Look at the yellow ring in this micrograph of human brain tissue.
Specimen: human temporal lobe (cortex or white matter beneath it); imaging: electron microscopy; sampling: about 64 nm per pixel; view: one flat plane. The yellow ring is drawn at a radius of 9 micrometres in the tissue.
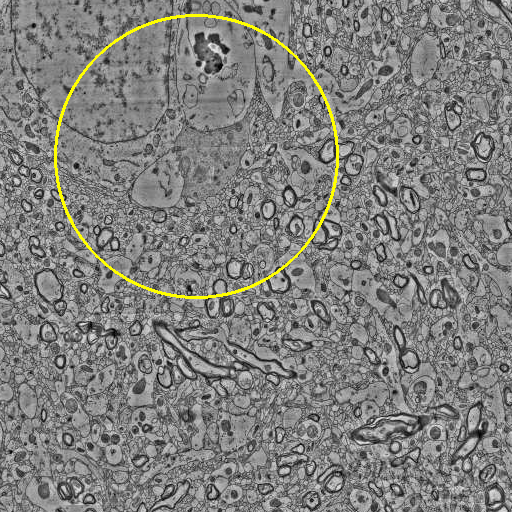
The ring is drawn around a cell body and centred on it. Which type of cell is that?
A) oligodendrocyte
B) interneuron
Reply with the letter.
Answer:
A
